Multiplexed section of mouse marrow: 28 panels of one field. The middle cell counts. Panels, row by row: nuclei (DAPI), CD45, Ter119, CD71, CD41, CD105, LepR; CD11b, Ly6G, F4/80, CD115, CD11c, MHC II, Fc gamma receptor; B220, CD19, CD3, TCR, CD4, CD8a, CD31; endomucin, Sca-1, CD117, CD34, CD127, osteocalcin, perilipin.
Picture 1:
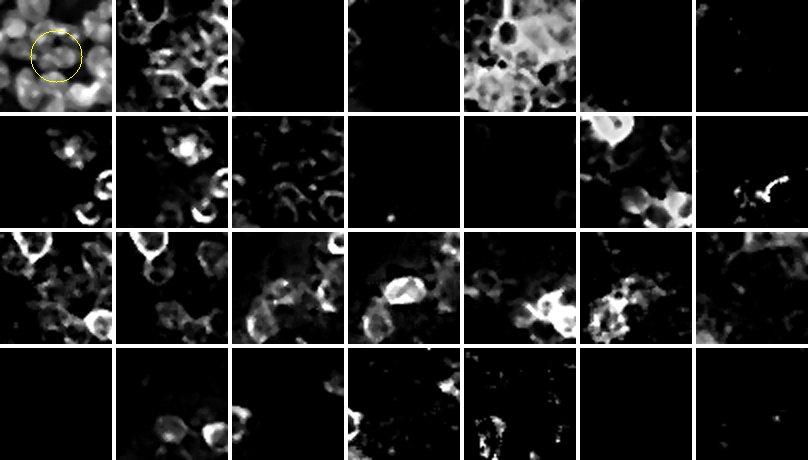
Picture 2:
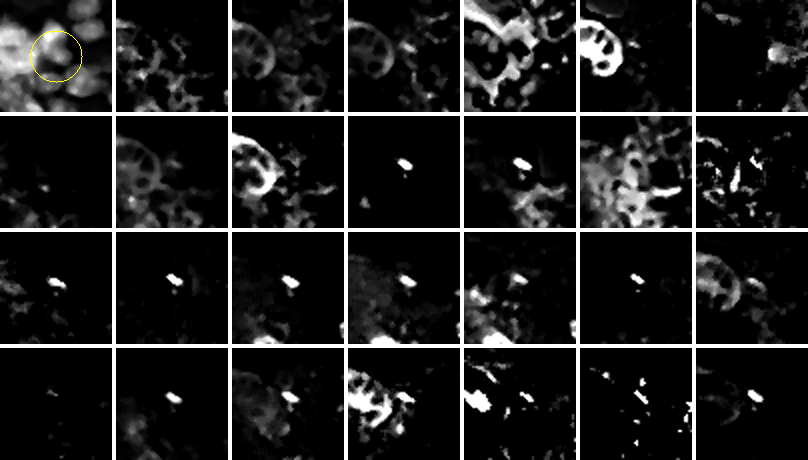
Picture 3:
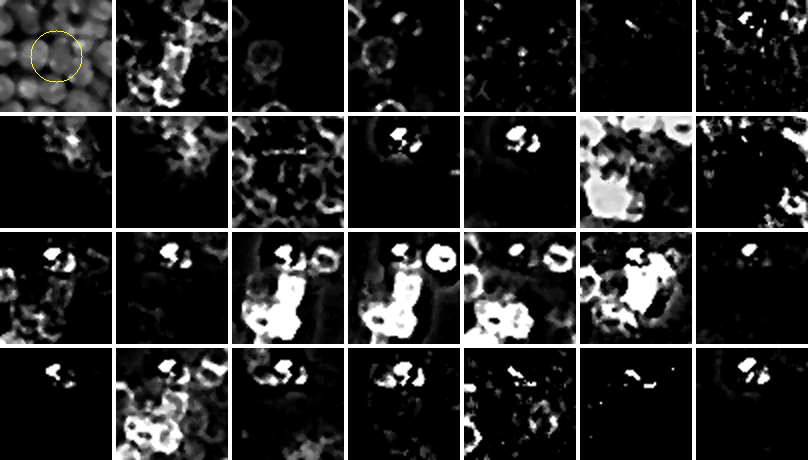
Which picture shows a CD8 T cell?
Picture 1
